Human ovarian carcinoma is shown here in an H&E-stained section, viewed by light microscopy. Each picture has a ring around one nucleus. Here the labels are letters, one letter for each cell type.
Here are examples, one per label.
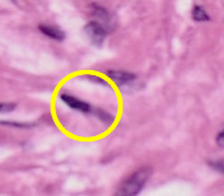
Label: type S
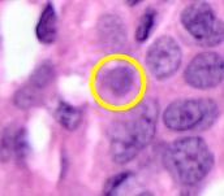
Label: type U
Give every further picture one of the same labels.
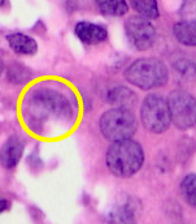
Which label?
type U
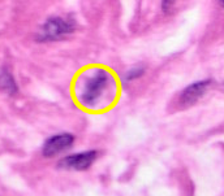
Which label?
type S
